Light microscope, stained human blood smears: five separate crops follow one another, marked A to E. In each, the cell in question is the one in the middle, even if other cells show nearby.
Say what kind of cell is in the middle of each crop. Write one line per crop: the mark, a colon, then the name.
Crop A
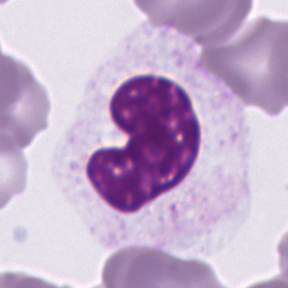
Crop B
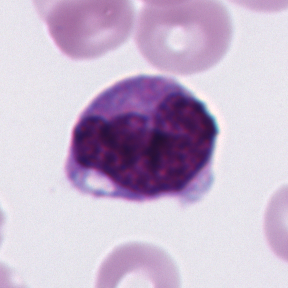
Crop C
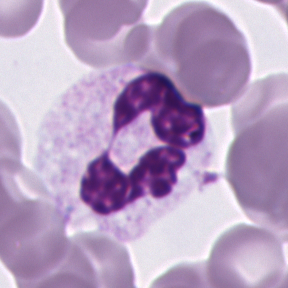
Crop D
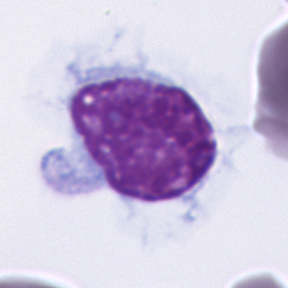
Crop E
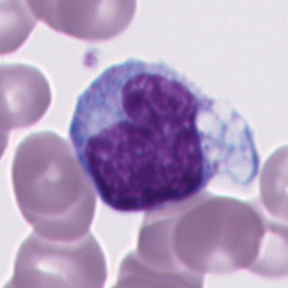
A: band neutrophil
B: monocyte
C: segmented neutrophil
D: hairy cell
E: monocyte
